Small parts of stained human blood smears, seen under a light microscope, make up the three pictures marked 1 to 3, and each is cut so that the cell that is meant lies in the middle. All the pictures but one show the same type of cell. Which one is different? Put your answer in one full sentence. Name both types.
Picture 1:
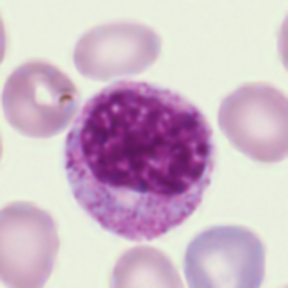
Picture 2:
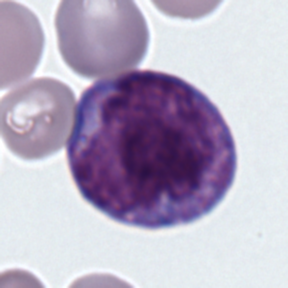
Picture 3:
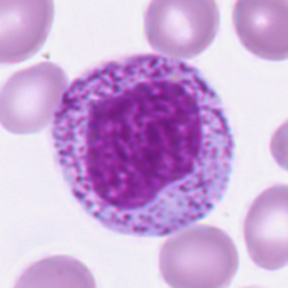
Picture 2 differs, because its cell is an atypical promyelocyte and the rest are myelocytes.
